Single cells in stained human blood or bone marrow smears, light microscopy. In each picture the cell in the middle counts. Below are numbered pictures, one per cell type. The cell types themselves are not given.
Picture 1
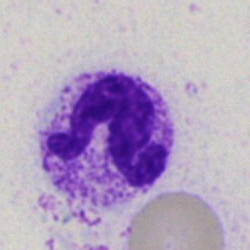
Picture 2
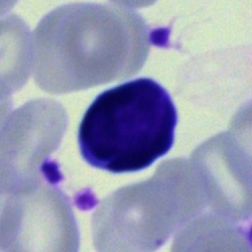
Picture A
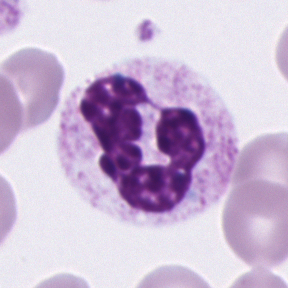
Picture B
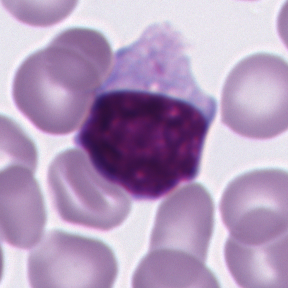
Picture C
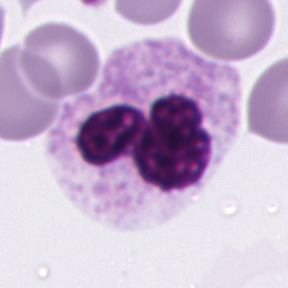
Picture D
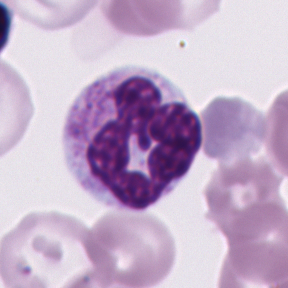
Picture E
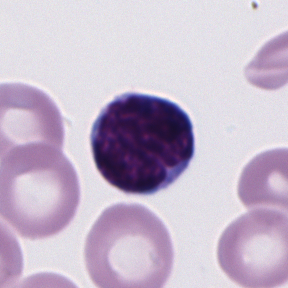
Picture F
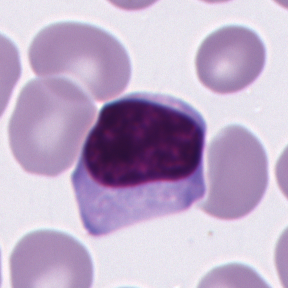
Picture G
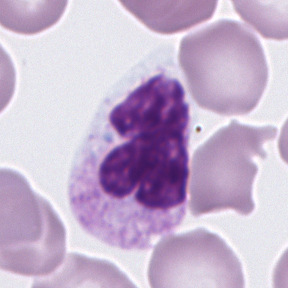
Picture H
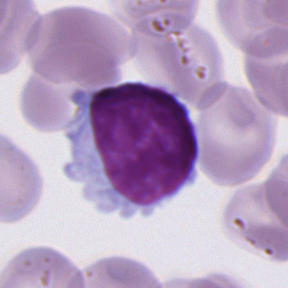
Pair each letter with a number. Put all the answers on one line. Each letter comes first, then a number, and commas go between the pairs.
A 1, B 2, C 1, D 1, E 2, F 2, G 1, H 2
